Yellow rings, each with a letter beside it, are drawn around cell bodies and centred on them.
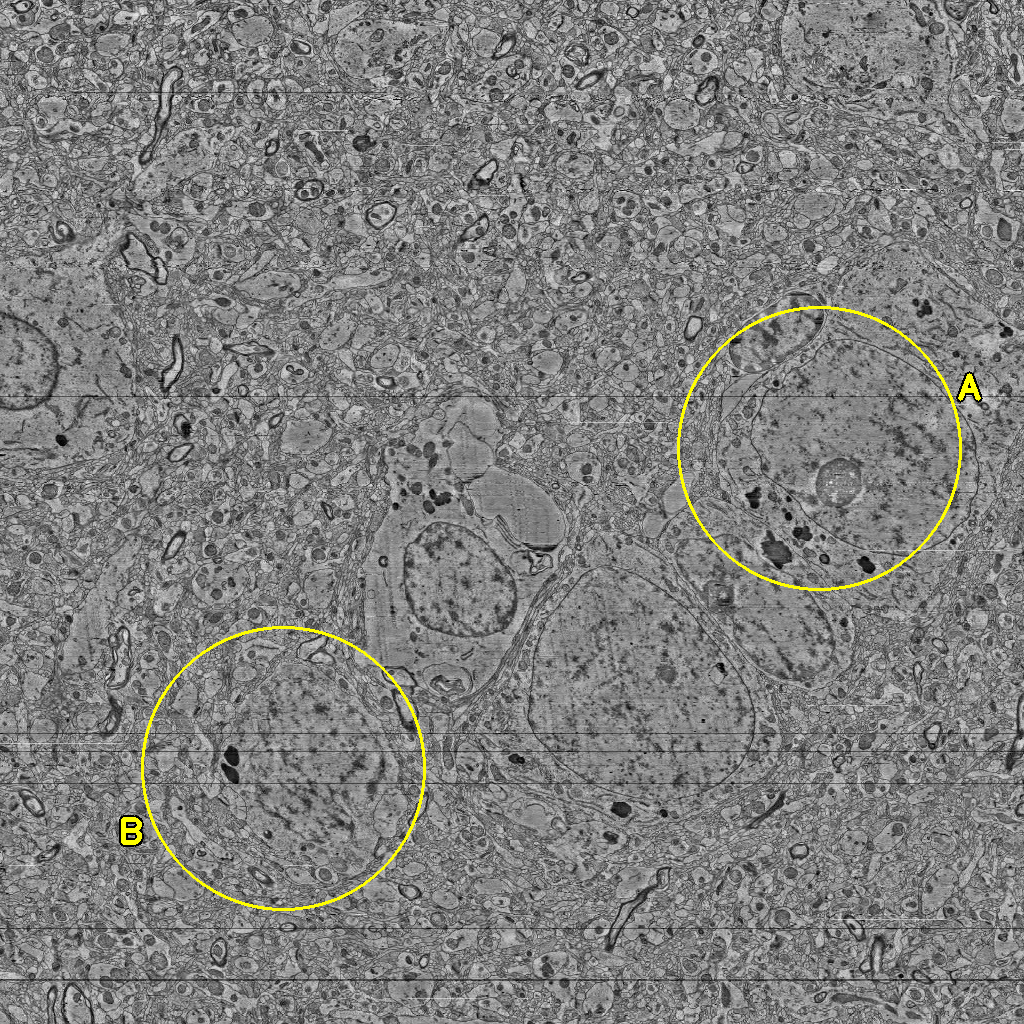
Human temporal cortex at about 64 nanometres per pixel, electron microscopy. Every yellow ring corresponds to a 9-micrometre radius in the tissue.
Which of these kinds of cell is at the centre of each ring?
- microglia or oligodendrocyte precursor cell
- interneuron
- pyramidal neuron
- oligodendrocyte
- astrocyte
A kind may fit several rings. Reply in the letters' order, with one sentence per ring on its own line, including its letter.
The cell in the middle of ring A is a pyramidal neuron.
The cell in the middle of ring B is an interneuron.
